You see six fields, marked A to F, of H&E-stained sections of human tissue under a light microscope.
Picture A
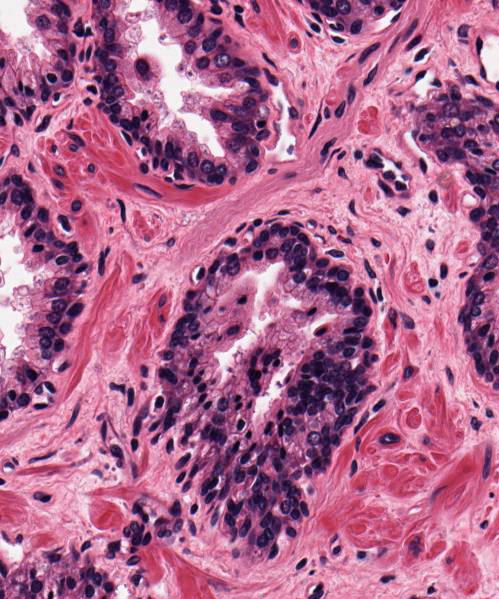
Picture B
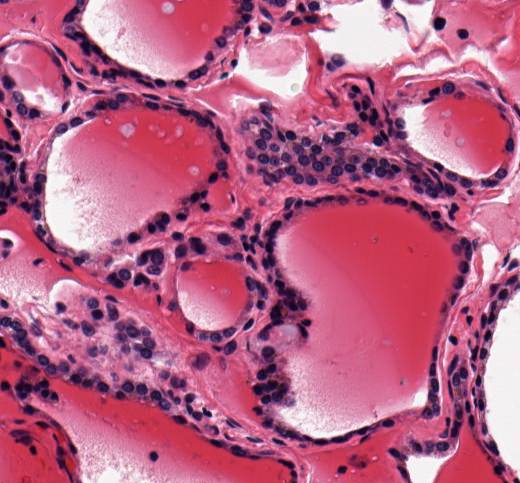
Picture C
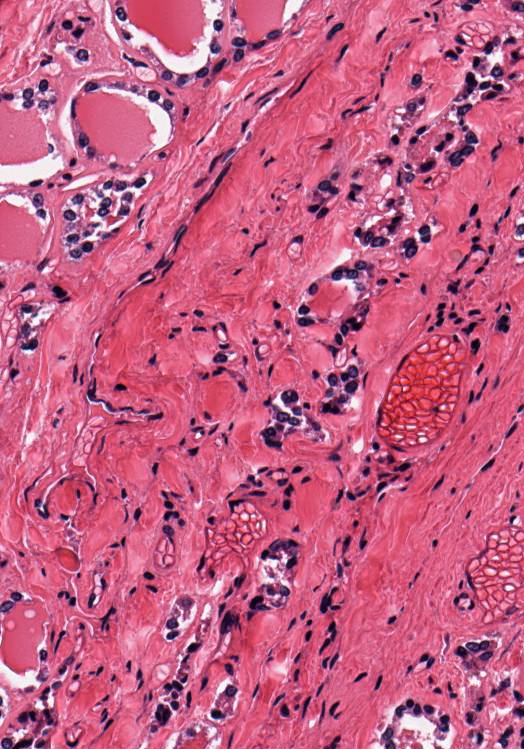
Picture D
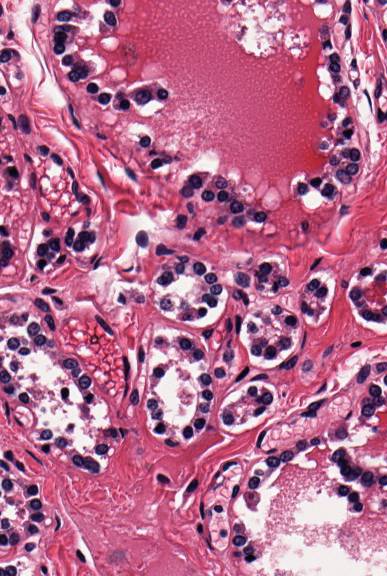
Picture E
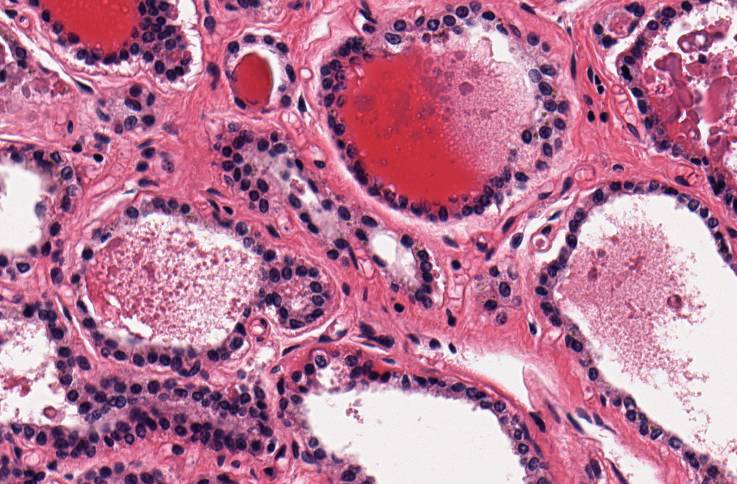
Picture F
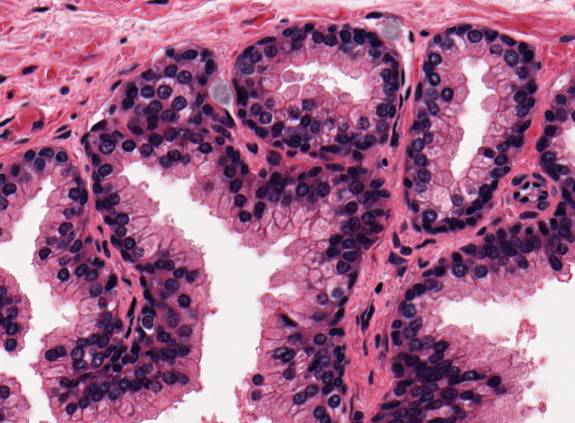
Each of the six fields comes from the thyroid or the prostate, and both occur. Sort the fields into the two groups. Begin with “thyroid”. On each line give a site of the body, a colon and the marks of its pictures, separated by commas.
thyroid: B, C, D, E
prostate: A, F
